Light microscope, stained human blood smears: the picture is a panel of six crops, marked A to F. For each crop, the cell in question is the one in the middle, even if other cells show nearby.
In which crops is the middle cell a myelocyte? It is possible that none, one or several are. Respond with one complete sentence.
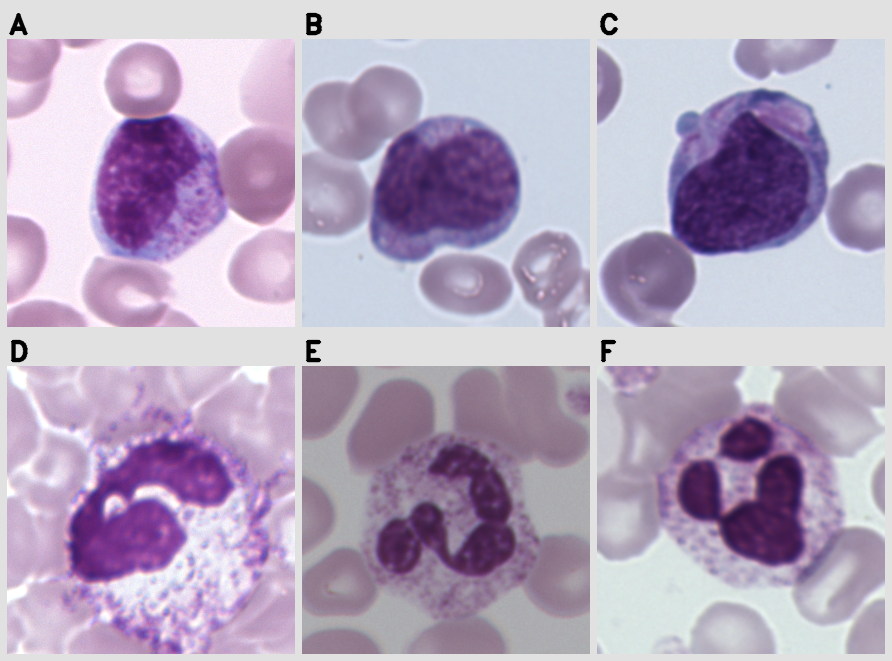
Only crop A shows a myelocyte; none of the others do.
